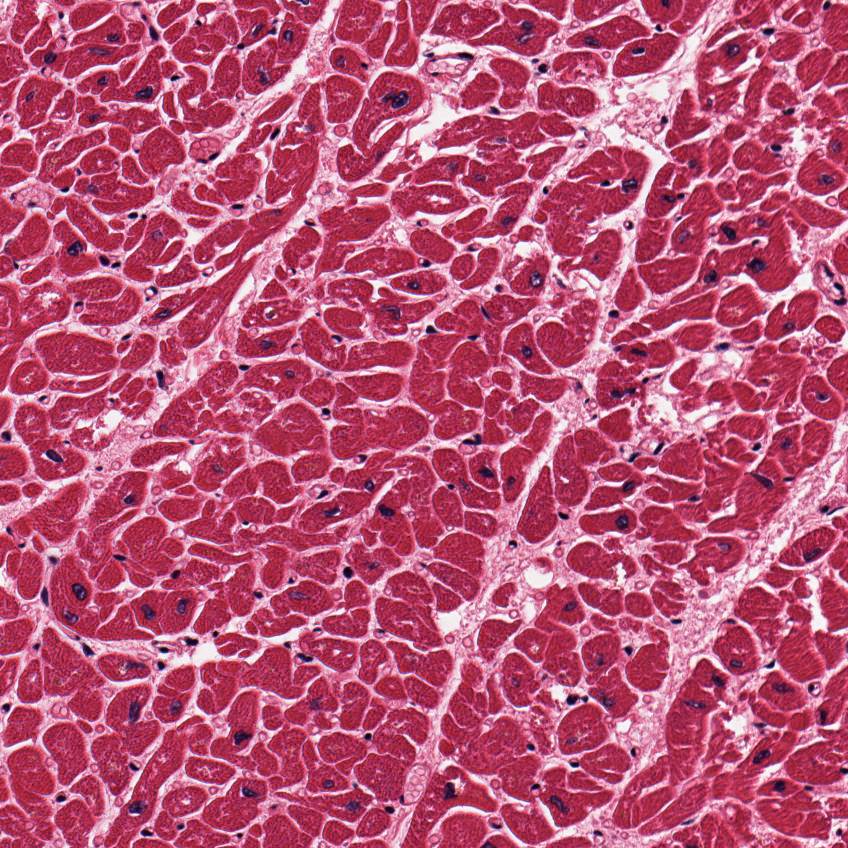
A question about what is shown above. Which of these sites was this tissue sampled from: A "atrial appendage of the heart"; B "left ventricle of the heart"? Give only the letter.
B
